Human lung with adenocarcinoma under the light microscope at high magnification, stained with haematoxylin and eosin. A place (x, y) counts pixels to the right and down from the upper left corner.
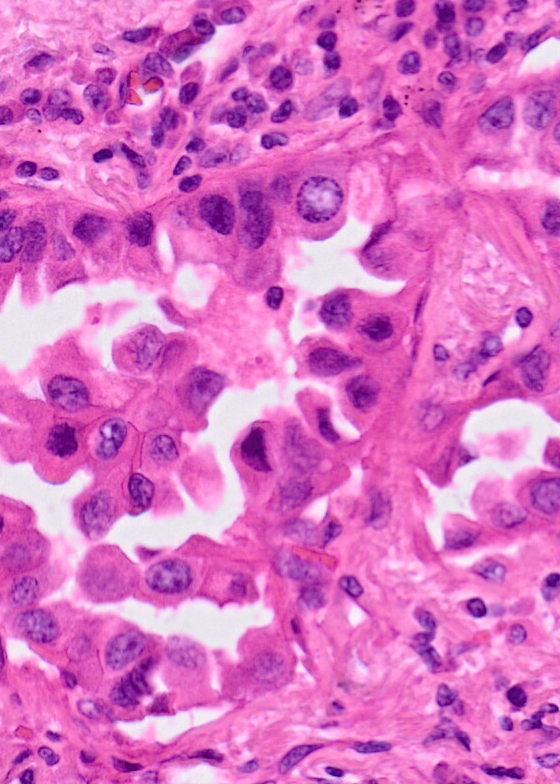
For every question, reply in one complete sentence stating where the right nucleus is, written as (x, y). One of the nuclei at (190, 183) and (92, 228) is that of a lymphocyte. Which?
Assigned to a lymphocyte is the nucleus located at (190, 183).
